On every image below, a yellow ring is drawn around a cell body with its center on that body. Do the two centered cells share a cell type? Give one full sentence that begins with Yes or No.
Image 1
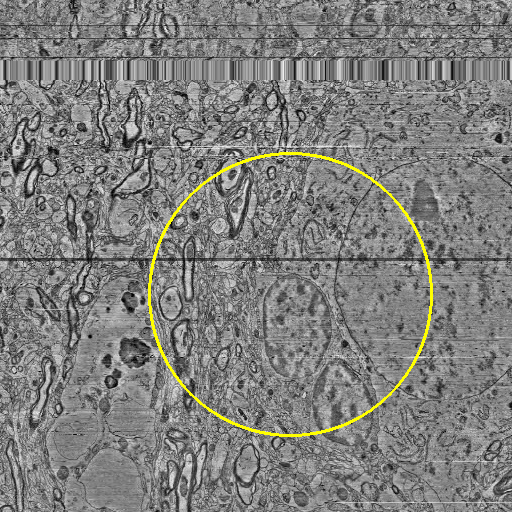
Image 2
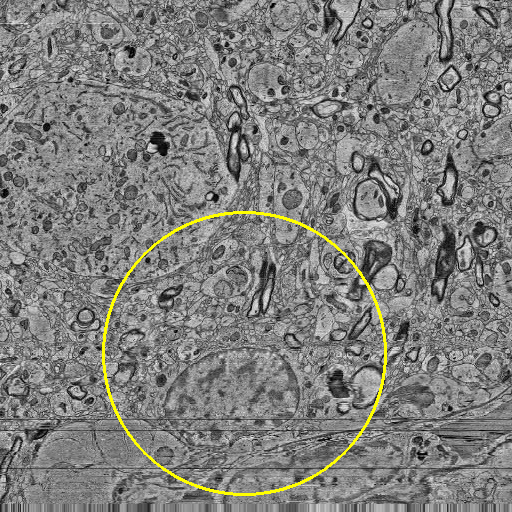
Yes, the centered cells in the two images are of a single cell type.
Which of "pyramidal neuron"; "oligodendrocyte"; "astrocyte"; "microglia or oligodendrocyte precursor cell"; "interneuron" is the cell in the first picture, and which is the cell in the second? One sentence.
The cell at the ring centre is an oligodendrocyte in both pictures.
